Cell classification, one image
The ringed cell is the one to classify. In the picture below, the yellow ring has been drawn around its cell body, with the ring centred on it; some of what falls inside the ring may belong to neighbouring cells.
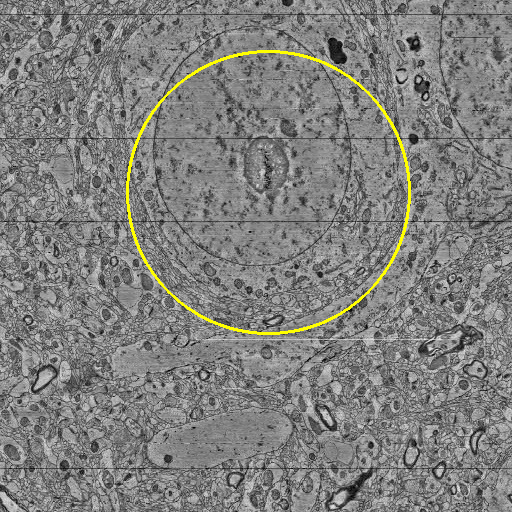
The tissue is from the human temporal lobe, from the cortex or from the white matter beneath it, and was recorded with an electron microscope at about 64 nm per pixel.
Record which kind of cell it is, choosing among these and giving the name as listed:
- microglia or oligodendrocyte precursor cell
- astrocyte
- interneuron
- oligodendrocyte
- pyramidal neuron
pyramidal neuron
